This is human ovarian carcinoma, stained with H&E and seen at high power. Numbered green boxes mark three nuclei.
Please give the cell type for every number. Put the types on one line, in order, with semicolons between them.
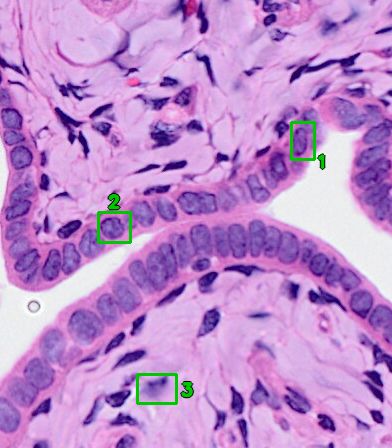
carcinoma cell; carcinoma cell; fibroblast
